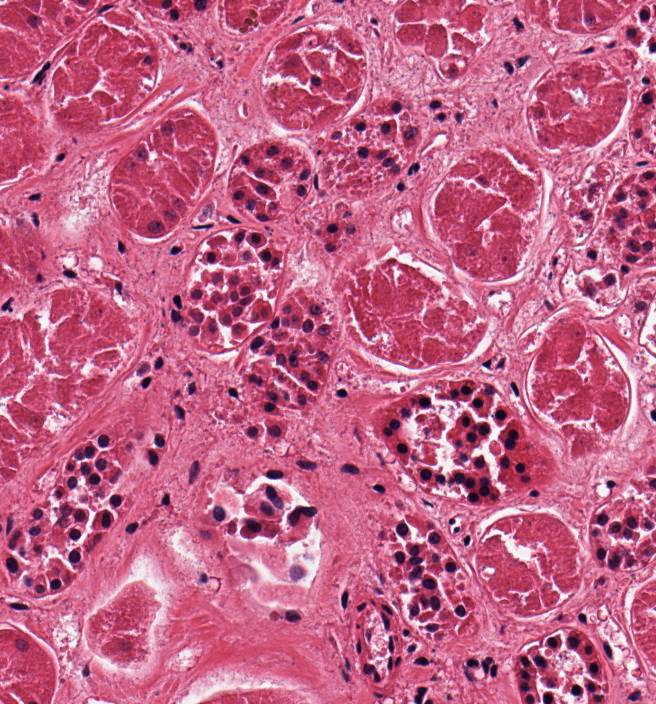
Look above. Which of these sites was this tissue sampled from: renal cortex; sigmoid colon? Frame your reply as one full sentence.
The source of this tissue sample is the renal cortex.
